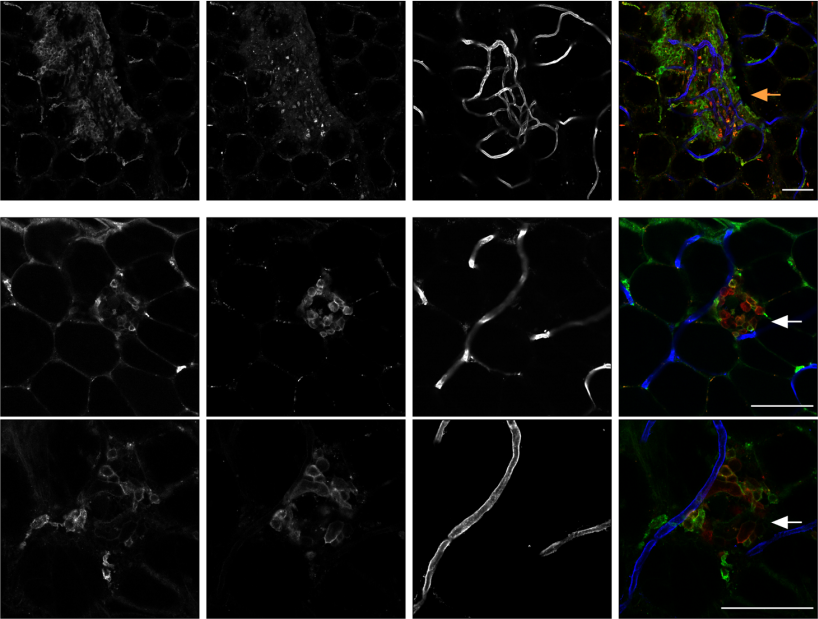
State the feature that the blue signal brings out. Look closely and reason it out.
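Blue signal forms long, narrow, branching tubular profiles. The blue tubes wind between the large round fat cells and through the dense cell cluster. On this evidence: Blood vessels.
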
